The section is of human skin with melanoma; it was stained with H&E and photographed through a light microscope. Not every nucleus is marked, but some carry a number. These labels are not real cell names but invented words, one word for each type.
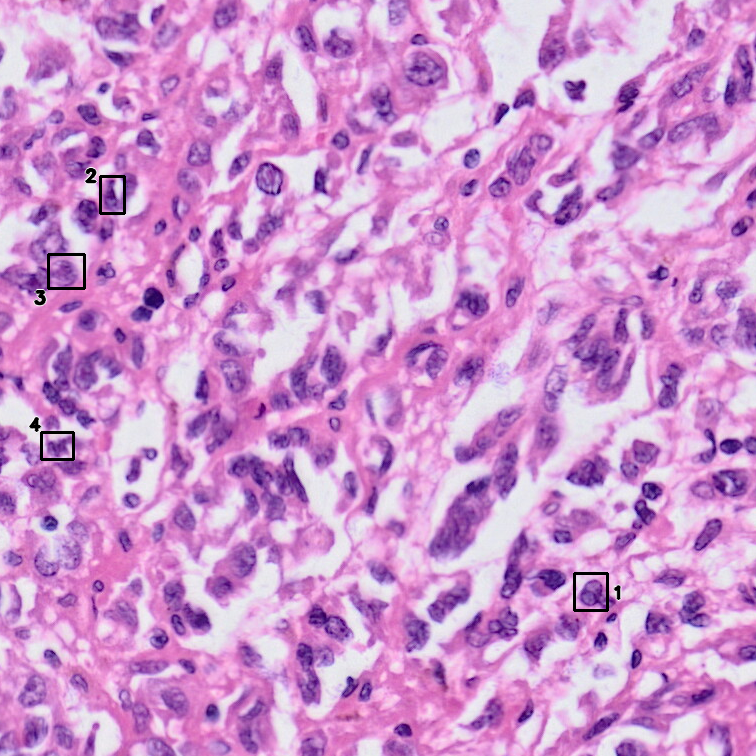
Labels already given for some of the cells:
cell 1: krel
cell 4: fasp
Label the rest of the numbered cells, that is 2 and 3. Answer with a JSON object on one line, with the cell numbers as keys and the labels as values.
{"2": "fasp", "3": "fasp"}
